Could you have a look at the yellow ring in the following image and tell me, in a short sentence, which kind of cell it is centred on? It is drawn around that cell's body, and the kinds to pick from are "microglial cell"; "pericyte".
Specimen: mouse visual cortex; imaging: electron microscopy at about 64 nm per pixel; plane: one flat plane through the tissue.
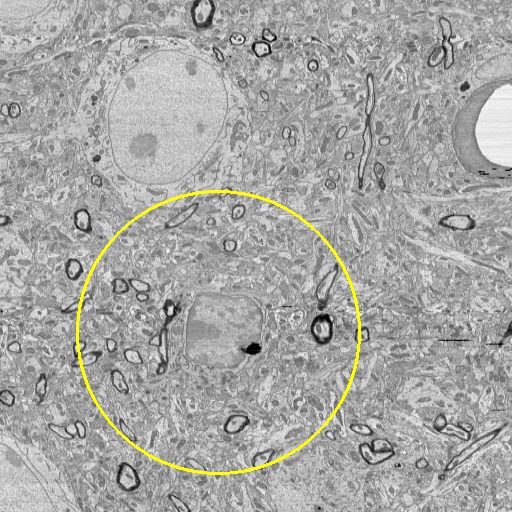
The ring is centred on the body of a microglial cell.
